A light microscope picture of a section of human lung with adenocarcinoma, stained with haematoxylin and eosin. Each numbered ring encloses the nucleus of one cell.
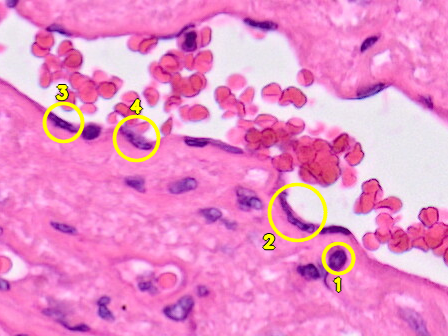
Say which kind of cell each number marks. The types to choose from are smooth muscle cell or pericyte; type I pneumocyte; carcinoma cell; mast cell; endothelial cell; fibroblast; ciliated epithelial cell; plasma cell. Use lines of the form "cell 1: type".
cell 1: plasma cell
cell 2: endothelial cell
cell 3: endothelial cell
cell 4: endothelial cell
